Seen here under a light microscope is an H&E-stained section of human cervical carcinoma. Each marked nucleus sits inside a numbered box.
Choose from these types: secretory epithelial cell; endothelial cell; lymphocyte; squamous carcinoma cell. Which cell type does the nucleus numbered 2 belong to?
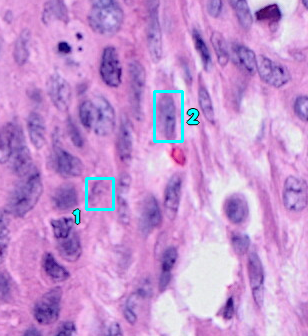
endothelial cell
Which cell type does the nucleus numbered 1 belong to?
squamous carcinoma cell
